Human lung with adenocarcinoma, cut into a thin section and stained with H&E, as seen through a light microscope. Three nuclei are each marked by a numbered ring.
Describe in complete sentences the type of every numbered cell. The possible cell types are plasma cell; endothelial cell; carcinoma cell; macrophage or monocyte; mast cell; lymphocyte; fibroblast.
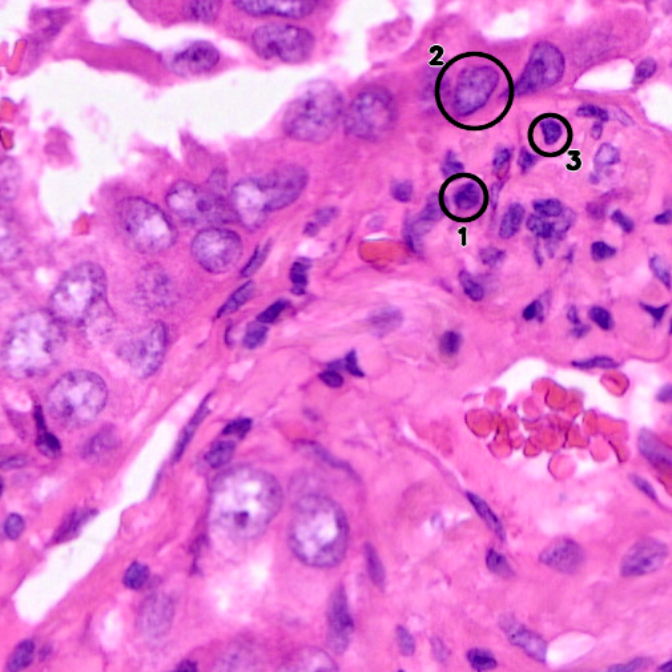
Cell 1 is a plasma cell. Cell 2 is a carcinoma cell. Cell 3 is a lymphocyte.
